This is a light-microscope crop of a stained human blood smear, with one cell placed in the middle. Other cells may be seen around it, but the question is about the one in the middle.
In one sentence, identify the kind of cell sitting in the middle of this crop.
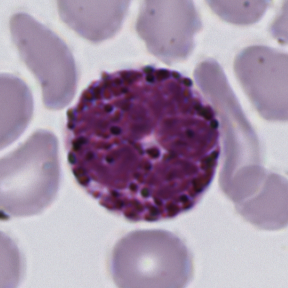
At the middle of the frame sits a basophil.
